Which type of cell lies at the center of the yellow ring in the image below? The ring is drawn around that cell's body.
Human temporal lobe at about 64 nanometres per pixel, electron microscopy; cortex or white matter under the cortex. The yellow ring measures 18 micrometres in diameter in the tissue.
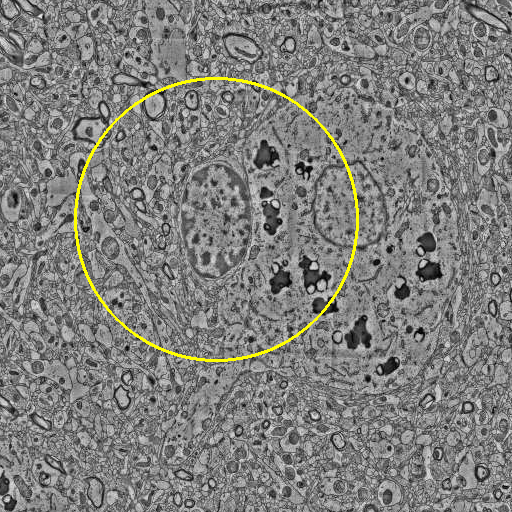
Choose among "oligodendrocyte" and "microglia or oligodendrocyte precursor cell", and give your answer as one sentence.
The cell body at the center belongs to a microglial cell or oligodendrocyte precursor cell.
